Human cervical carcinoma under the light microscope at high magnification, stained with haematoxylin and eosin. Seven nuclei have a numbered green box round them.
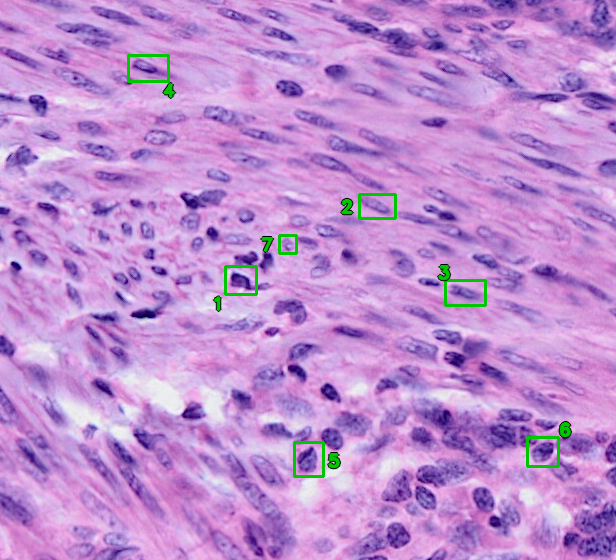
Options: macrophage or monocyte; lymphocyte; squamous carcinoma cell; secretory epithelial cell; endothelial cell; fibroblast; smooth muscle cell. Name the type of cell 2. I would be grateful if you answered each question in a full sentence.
That cell with number 2 is a smooth muscle cell.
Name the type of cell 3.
Among the marked nuclei, number 3 belongs to a fibroblast.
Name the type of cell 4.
Here, the cell given the number 4 is a smooth muscle cell.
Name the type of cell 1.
The cell bearing label 1 corresponds to a lymphocyte.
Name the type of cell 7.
Numbered cell 7 is a smooth muscle cell in this tissue section.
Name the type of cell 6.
The cell that goes by number 6 is a lymphocyte.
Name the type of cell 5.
The cell referred to as 5 is a lymphocyte.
